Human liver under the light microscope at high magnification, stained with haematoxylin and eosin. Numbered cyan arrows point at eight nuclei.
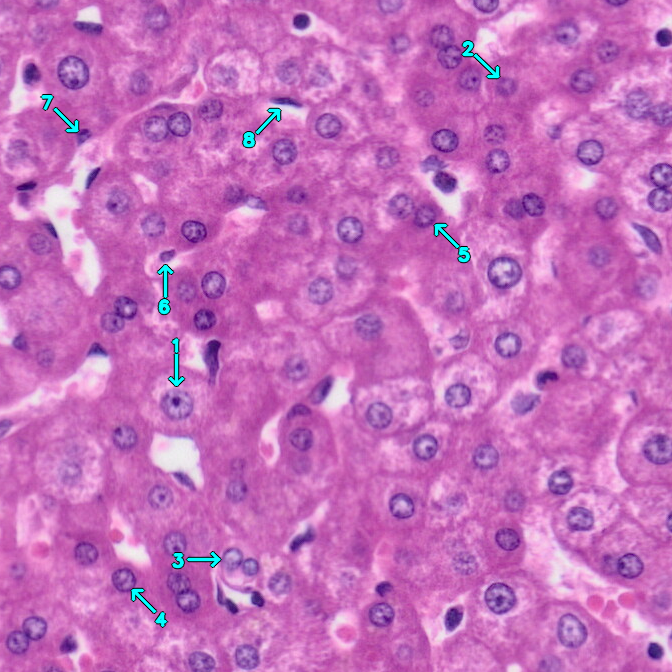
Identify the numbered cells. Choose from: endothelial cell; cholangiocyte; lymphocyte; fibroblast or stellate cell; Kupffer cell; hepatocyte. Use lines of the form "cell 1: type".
cell 1: hepatocyte
cell 2: hepatocyte
cell 3: cholangiocyte
cell 4: hepatocyte
cell 5: hepatocyte
cell 6: Kupffer cell
cell 7: fibroblast or stellate cell
cell 8: endothelial cell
